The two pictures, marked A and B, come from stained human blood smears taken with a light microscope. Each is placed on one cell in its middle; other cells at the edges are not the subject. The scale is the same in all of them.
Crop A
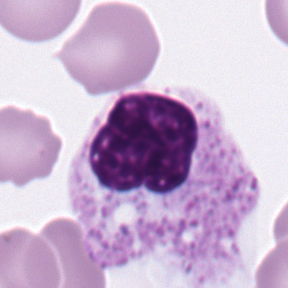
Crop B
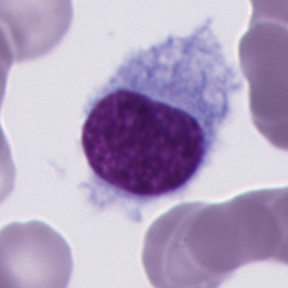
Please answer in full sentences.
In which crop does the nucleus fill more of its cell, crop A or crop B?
The nucleus fills more of the cell in crop B than in crop A.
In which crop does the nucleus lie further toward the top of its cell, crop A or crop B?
It is the nucleus in crop A that lies further toward the top of its cell.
